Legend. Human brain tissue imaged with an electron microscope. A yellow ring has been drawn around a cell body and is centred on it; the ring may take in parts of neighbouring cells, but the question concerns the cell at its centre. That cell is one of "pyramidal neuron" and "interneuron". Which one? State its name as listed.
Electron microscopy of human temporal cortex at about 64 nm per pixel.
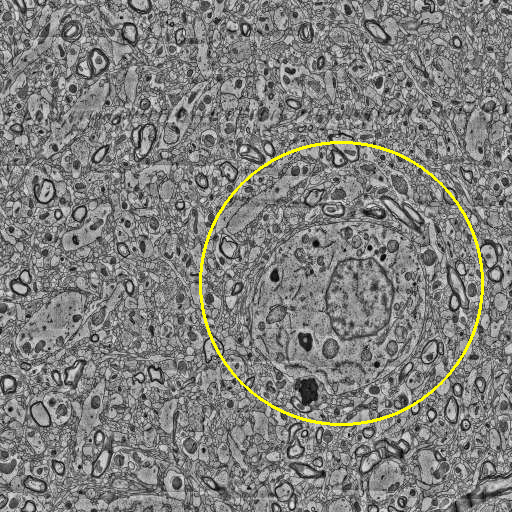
pyramidal neuron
